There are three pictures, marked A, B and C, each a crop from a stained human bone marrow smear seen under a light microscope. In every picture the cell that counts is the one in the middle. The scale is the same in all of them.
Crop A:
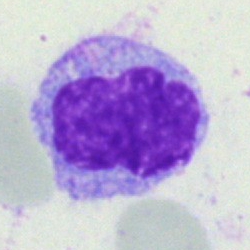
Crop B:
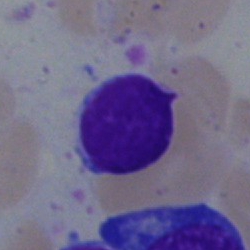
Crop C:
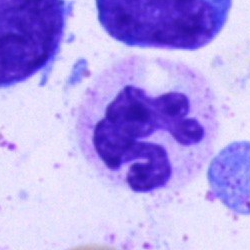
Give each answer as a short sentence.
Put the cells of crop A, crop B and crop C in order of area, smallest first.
Smallest first: B, C, A.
